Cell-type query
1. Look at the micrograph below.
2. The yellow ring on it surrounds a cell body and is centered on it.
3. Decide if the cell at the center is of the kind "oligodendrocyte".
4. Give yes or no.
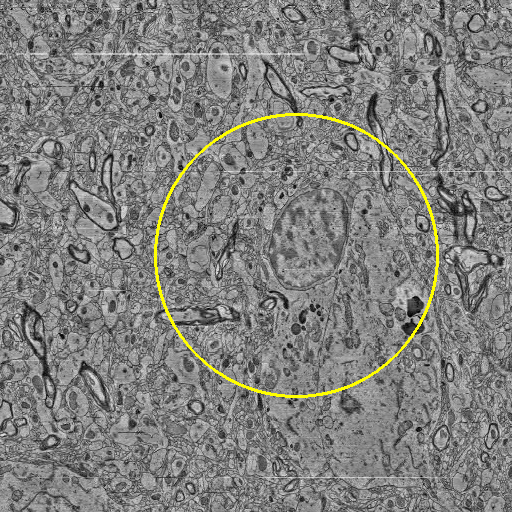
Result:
yes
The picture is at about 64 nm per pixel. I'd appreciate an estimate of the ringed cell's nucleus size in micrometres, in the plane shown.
About 7 by 5 micrometers for the nucleus, in this plane.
